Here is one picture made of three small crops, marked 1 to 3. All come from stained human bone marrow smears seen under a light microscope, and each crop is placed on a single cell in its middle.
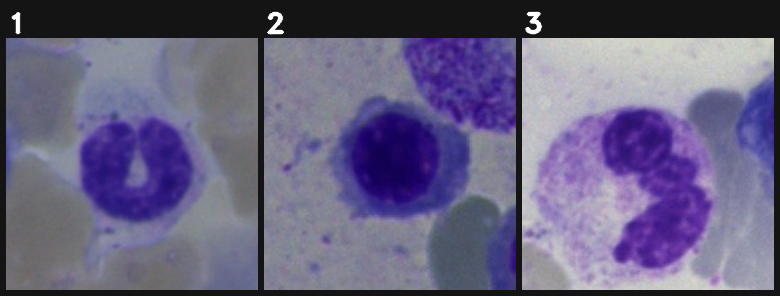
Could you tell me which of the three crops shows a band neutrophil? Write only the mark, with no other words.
1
